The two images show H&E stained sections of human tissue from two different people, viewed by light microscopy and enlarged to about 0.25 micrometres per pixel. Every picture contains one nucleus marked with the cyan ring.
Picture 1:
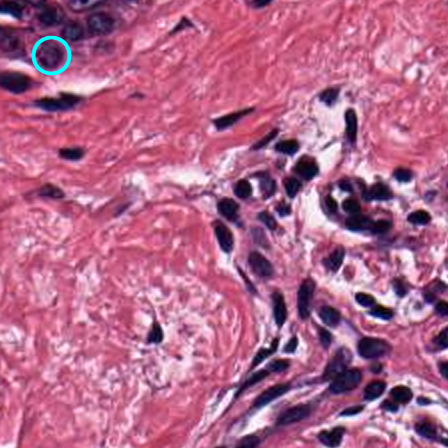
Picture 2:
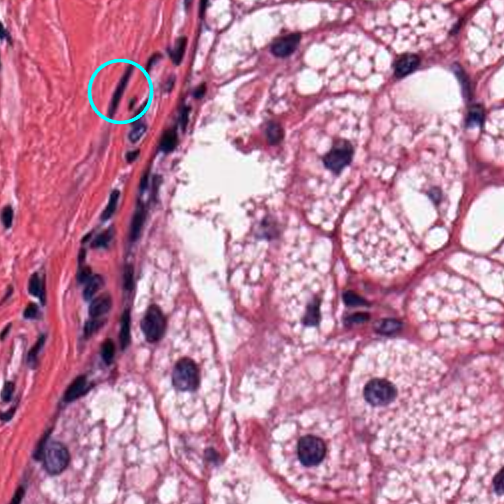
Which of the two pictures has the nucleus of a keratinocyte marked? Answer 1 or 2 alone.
1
